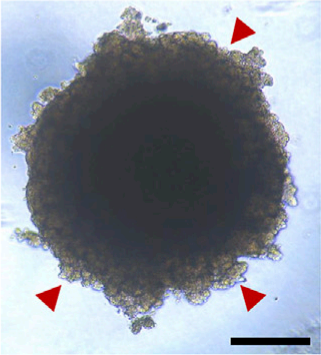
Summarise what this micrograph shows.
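A large, nearly round, dark cell aggregate that is opaque through most of its mass. Its outline is irregular and lumpy, with budding clusters of cells protruding from the periphery and loose cell clumps at the edge.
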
